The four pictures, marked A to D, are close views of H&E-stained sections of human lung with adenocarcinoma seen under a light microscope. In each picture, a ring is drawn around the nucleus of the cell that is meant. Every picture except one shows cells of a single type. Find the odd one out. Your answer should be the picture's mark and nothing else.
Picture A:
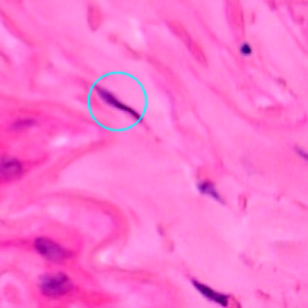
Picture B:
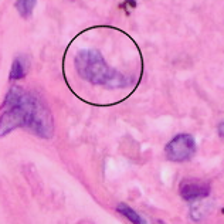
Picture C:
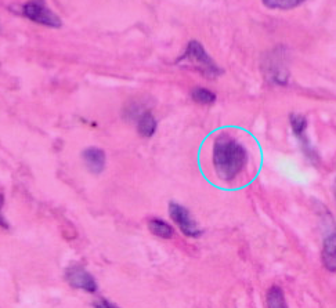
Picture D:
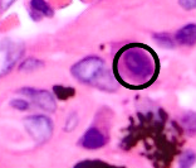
D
